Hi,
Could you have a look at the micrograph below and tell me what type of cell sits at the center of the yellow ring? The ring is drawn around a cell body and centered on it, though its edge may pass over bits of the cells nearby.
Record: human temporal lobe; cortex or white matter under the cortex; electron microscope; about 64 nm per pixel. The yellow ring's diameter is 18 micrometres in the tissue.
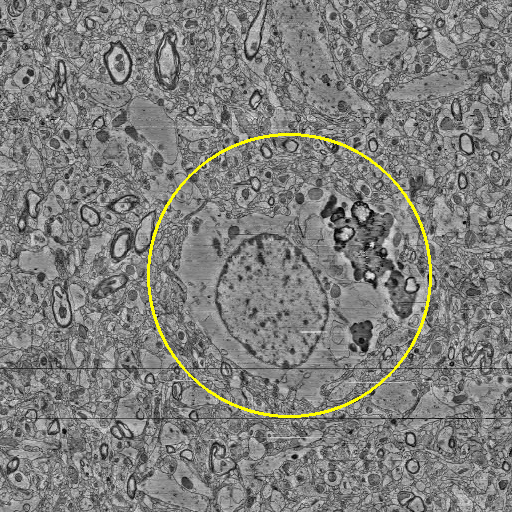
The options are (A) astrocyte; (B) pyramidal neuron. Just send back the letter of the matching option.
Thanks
A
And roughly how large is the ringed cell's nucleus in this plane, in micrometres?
Approximately 9 x 7 micrometres in this plane.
